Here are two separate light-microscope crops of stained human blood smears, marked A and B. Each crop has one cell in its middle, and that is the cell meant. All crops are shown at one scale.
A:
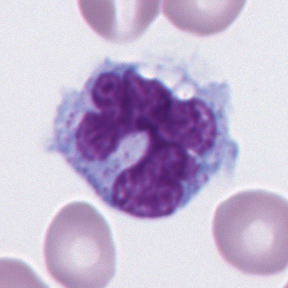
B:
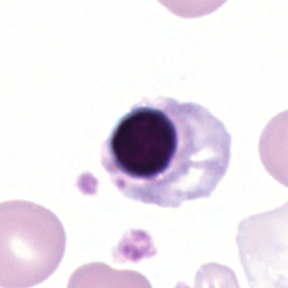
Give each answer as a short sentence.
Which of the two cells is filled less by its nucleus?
In crop B the nucleus takes up the smaller part of its cell.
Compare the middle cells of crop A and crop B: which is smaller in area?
Crop B holds the smaller cell, since the cell in crop A covers about 2 times as much area.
